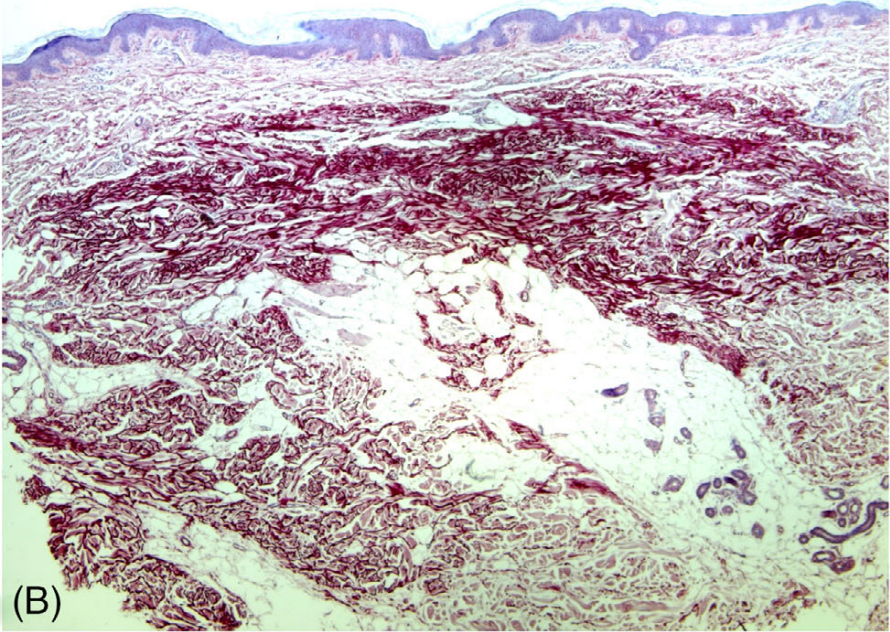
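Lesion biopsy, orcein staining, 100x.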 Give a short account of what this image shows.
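Skin with a pale bluish epidermis at the top and a dermis containing numerous fine, wavy dark purple-red elastic fibers. The fibers are scattered between the collagen bundles and are most concentrated in a band in the mid-dermis, while adjacent fat and gland tubules at the lower right contain few of them.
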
